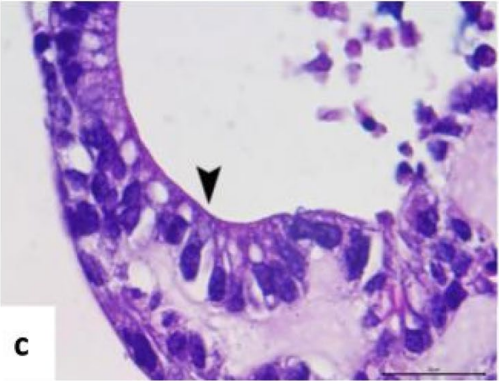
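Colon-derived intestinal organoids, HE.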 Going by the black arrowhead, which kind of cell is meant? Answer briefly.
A: Goblet-like cells.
